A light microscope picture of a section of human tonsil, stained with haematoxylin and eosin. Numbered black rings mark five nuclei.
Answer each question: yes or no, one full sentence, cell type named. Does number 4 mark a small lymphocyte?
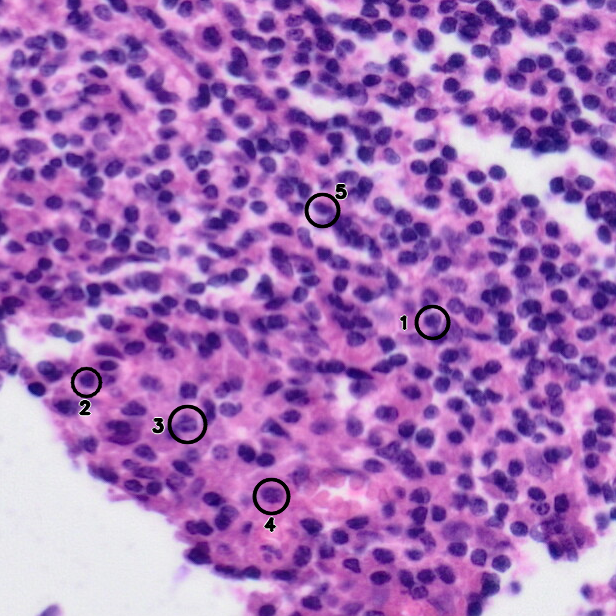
No, cell number 4 is identified as a plasma cell, not as a small lymphocyte.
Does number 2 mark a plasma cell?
Yes, the cell that number 2 points to is a plasma cell.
